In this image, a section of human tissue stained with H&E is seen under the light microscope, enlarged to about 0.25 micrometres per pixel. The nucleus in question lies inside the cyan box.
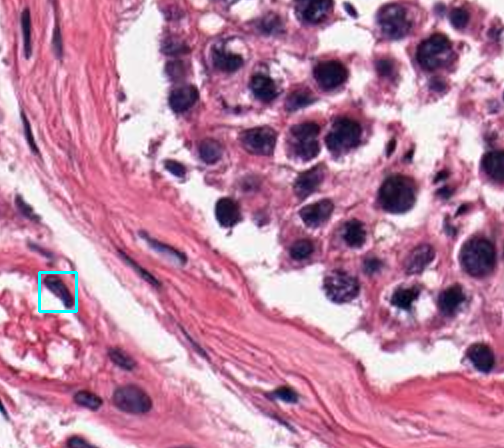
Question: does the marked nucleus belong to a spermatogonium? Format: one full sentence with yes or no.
No, a supporting cell rather than a spermatogonium is the cell of the marked nucleus.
